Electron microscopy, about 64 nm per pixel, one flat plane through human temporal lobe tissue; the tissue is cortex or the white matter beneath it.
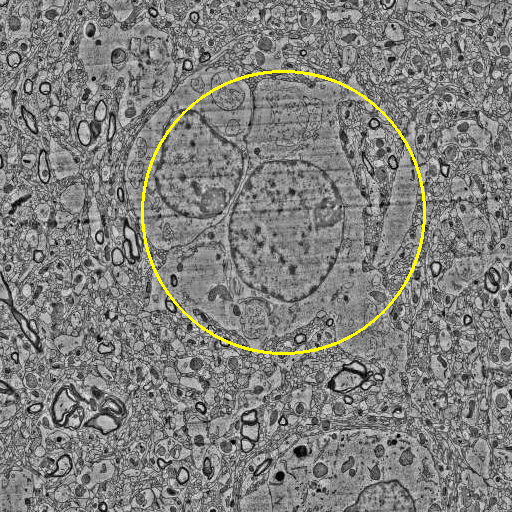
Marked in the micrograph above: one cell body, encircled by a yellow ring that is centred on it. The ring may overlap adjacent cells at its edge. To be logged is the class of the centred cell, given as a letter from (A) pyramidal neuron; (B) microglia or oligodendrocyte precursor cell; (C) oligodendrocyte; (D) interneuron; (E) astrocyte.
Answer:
E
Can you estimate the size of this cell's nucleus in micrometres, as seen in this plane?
The nucleus works out at approximately 9 by 8 micrometres in this plane.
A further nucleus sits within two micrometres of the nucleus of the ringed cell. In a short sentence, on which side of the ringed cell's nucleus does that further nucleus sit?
That other nucleus appears to the upper left of it.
